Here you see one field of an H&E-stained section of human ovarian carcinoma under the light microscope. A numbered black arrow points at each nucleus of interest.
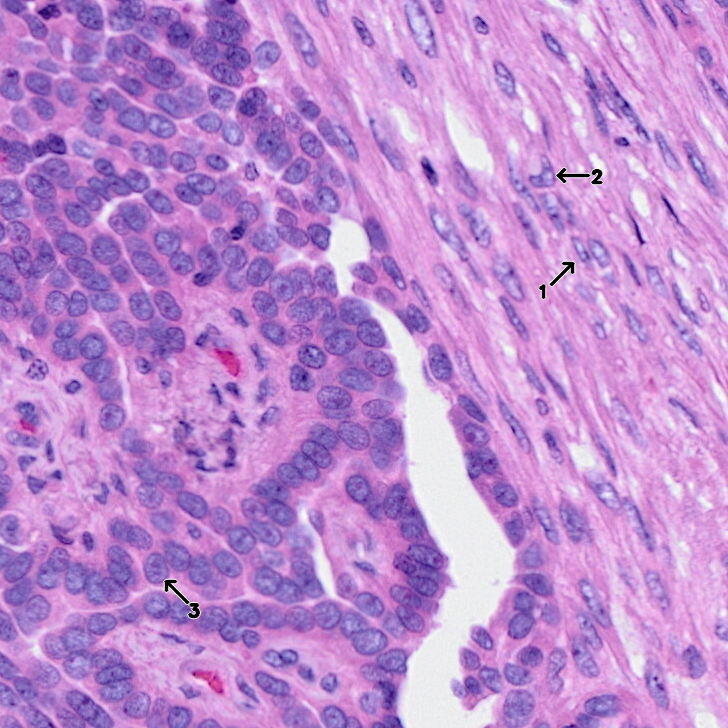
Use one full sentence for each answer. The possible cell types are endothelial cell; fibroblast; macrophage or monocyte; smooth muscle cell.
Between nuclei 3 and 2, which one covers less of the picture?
Number 2 is smaller, since number 3 takes up about 2 times as much area.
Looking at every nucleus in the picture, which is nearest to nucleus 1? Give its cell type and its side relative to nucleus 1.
The nearest one is a fibroblast, found to the right of nucleus 1.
